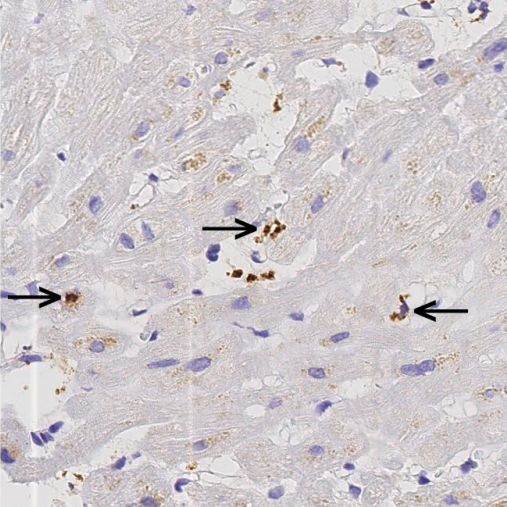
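Here heart muscle fibres run in long parallel bundles, and among them lie a few inflammatory cells holding coarse brown granules in their cytoplasm. The muscle fibres have pale pink-grey cytoplasm with blue oval nuclei, and fine golden-brown granules gather close to many of these nuclei. Small clear spaces open between some of the fibres.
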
